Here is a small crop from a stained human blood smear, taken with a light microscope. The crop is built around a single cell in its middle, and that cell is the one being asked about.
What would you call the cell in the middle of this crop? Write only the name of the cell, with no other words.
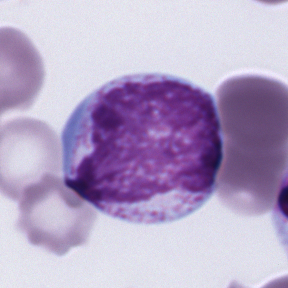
myelocyte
